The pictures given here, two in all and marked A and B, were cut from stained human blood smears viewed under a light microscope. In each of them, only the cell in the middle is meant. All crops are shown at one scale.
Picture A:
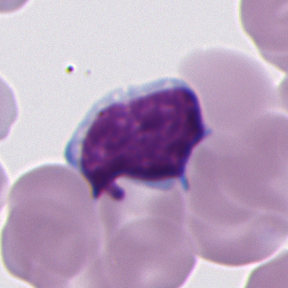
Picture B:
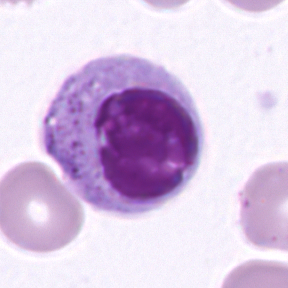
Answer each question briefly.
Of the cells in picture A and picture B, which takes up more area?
B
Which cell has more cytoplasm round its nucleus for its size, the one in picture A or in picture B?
B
